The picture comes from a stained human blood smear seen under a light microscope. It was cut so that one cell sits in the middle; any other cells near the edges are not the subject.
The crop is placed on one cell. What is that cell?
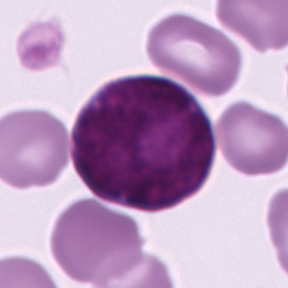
blast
